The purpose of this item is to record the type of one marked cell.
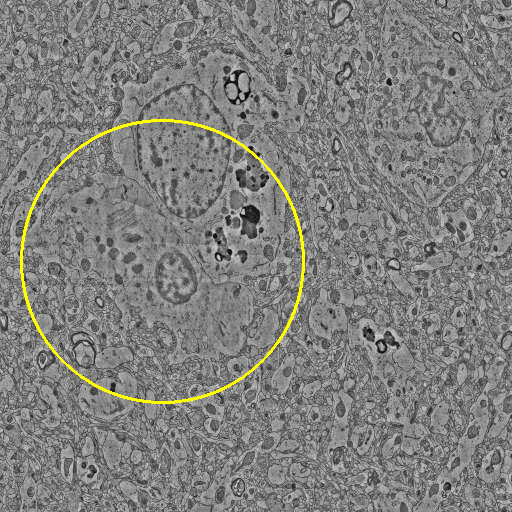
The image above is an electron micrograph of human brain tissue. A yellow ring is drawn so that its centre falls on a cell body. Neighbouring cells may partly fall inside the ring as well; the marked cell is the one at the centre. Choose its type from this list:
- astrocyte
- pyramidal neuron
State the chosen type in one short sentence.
What the ring marks here is an astrocyte.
